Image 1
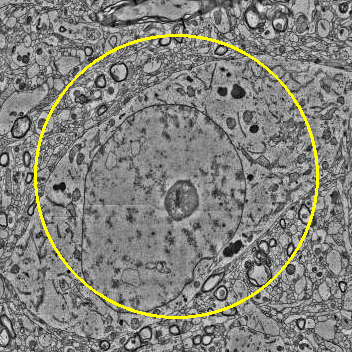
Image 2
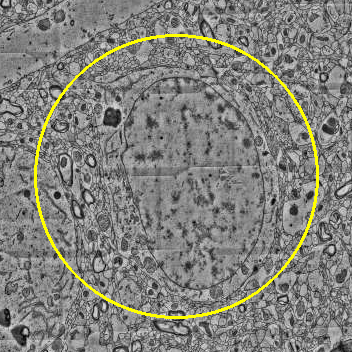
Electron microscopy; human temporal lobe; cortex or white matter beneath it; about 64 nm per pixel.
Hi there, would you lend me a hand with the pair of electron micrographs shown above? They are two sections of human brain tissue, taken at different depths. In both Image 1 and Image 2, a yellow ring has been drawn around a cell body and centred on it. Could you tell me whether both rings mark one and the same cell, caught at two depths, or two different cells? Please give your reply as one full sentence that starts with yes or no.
No, within the two rings lie two different cells.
